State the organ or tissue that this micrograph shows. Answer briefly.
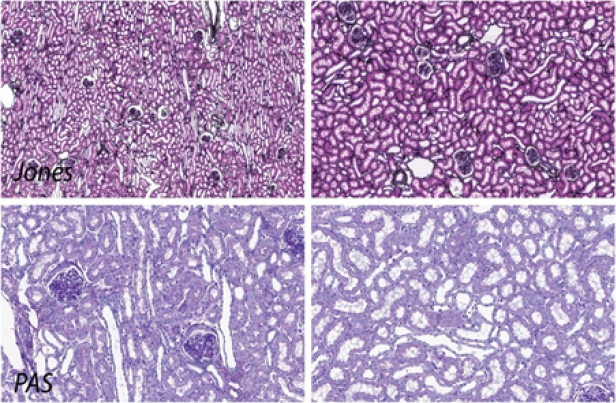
Kidney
